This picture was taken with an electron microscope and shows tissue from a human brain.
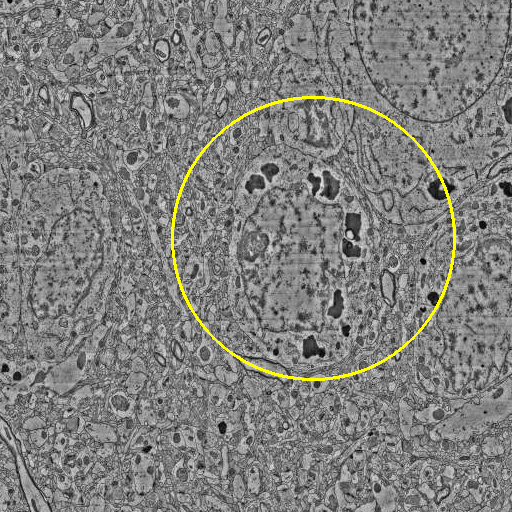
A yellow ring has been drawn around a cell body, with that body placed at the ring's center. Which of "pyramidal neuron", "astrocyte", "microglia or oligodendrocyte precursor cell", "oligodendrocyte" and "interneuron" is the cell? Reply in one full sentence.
In this picture, an interneuron is the cell at the center of the yellow ring.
